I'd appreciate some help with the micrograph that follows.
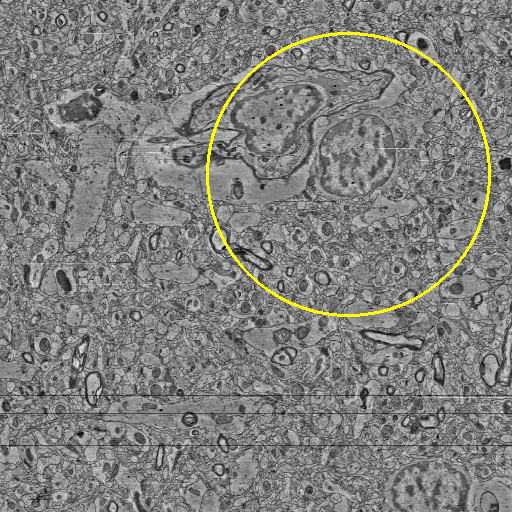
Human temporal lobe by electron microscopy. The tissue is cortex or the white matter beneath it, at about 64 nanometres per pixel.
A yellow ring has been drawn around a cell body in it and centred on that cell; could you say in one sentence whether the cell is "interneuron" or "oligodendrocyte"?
It is an oligodendrocyte at the centre of the ring.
